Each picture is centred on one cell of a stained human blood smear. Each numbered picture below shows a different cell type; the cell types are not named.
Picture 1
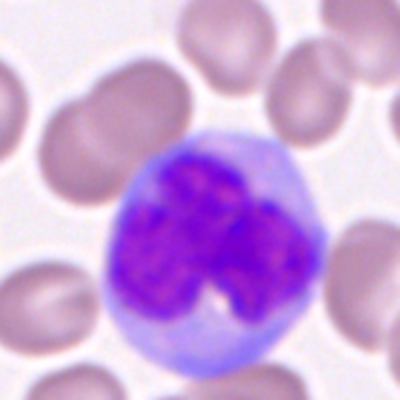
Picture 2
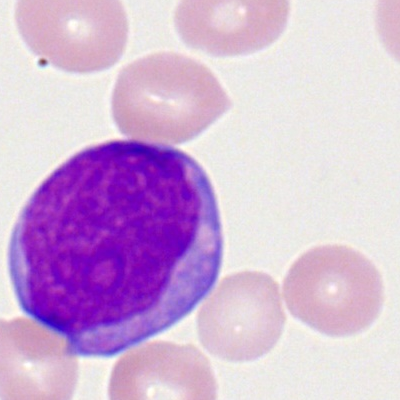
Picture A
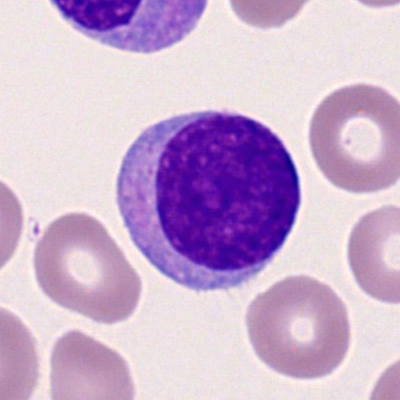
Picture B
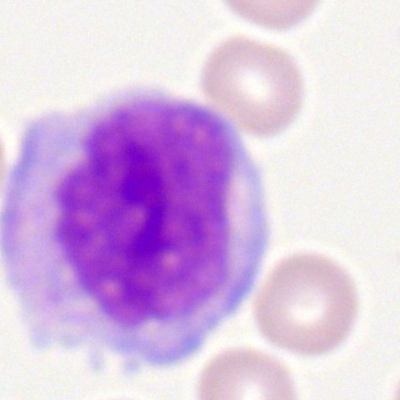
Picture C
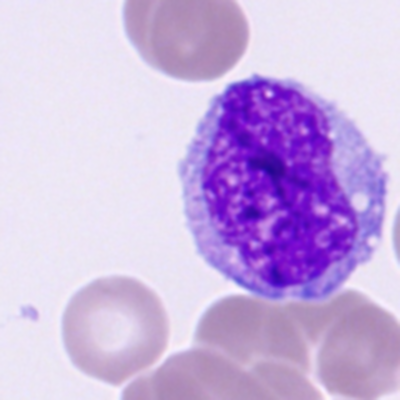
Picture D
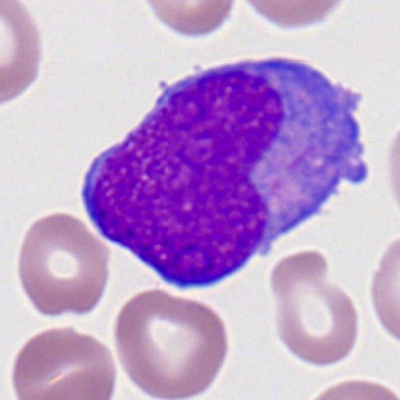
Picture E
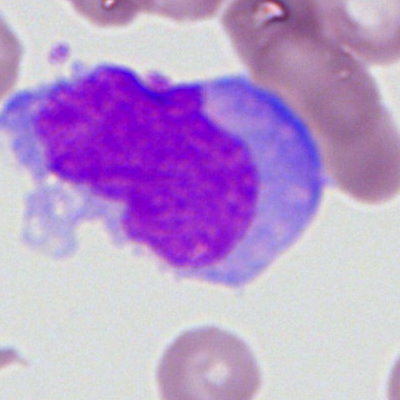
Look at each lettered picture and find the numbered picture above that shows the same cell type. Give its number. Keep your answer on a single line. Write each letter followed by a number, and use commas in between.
A 2, B 1, C 1, D 2, E 1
